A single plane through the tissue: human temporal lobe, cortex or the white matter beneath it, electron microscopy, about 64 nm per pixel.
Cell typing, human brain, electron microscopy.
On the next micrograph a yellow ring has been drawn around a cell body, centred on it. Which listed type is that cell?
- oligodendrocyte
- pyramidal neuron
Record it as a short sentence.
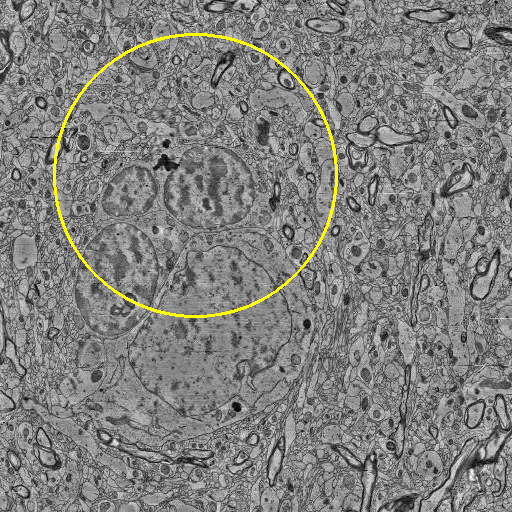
The cell body in the ring's centre belongs to an oligodendrocyte.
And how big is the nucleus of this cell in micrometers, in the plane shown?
About 6 micrometers across, in this plane.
